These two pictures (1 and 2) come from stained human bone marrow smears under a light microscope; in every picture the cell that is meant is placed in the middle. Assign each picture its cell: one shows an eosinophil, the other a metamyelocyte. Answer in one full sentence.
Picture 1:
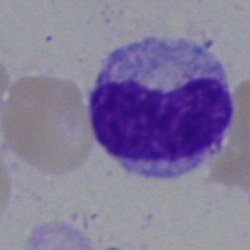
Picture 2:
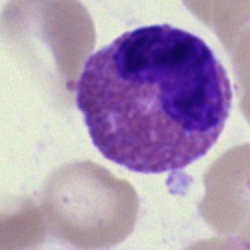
Picture 2 shows an eosinophil, while picture 1 shows a metamyelocyte.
